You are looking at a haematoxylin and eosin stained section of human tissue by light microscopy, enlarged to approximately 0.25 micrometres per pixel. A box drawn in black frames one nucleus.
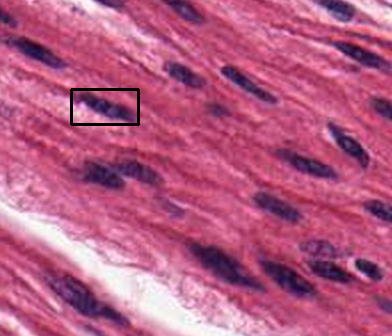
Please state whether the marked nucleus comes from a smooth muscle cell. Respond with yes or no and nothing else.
yes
